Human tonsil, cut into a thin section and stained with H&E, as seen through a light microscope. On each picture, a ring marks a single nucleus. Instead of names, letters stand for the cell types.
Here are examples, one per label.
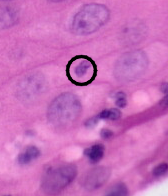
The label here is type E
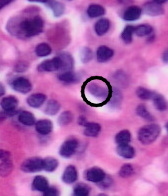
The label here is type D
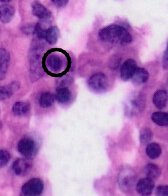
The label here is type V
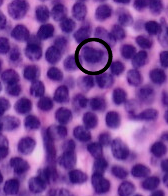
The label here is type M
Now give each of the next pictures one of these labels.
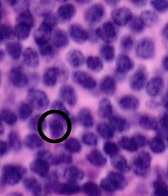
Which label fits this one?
type M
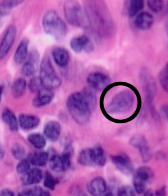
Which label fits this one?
type D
